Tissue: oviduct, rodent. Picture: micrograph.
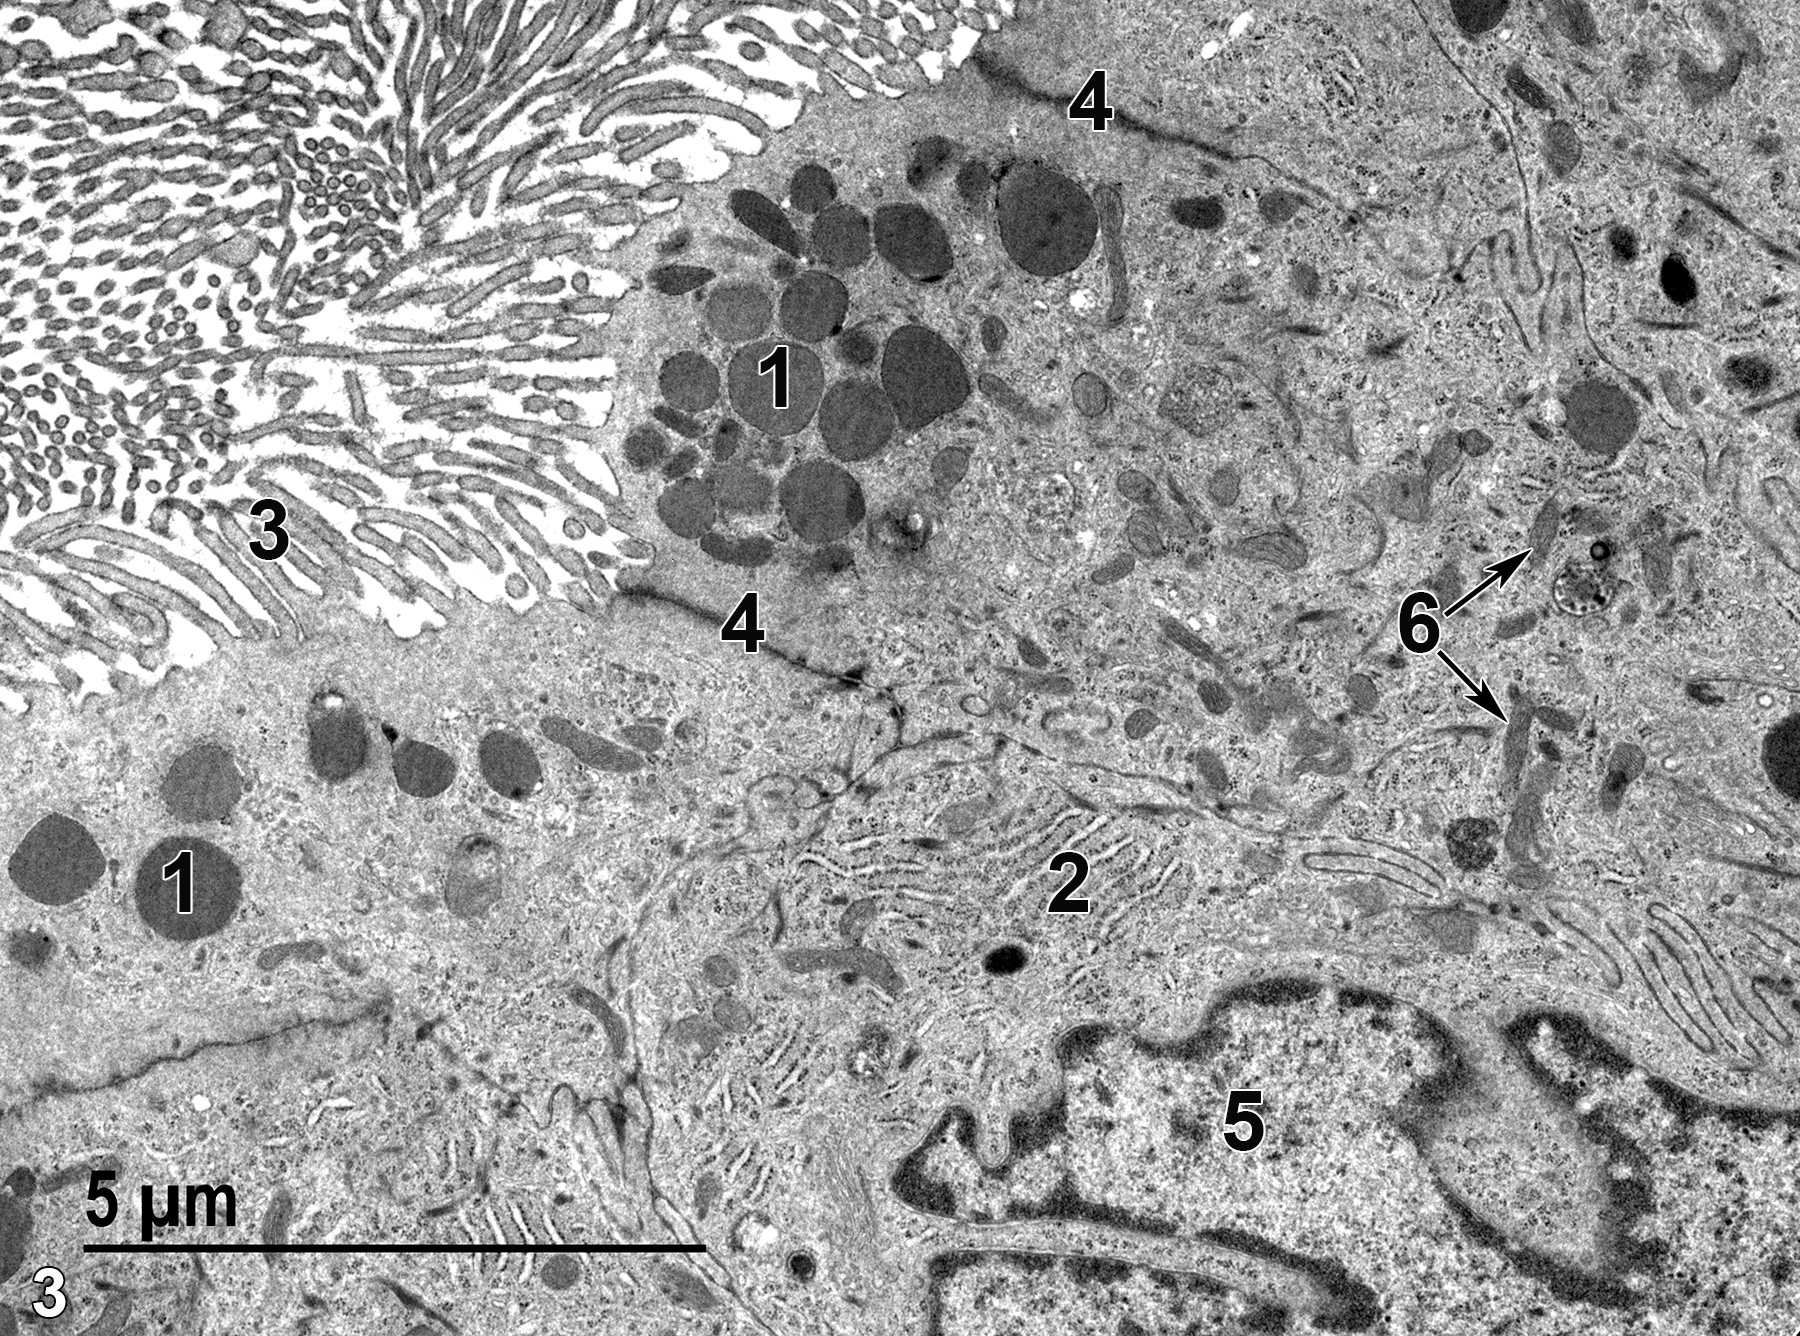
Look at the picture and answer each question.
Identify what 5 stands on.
Nucleus.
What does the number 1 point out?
At 1: secretory granules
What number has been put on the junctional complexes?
4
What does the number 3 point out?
At 3: microvilli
